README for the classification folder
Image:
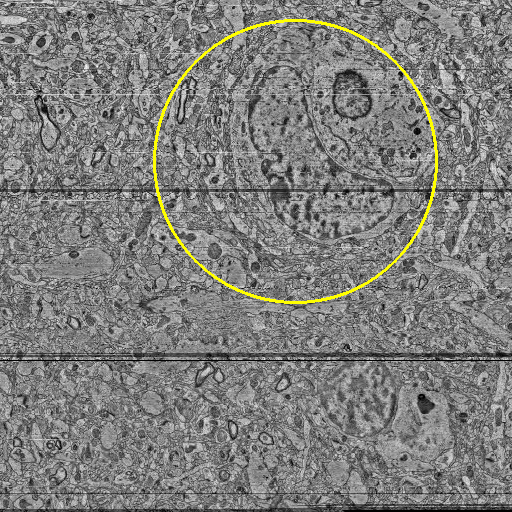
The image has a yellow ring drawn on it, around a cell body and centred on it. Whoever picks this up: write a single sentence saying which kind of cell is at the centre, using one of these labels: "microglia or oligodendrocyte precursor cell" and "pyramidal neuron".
This cell body is that of a microglial cell or oligodendrocyte precursor cell.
